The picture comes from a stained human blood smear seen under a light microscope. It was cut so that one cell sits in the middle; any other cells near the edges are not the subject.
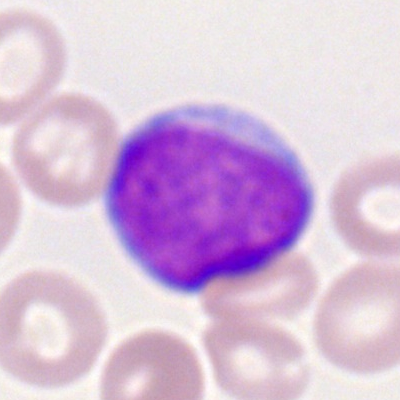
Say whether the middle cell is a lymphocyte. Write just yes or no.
no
